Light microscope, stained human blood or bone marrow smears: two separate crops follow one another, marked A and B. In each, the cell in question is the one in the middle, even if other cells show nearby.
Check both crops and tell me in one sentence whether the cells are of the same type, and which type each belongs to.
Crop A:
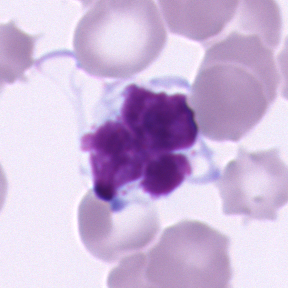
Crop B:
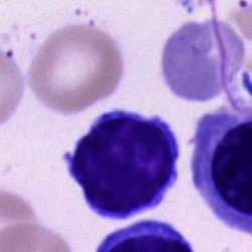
Yes, lymphocytes occupy the centre of both crops.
